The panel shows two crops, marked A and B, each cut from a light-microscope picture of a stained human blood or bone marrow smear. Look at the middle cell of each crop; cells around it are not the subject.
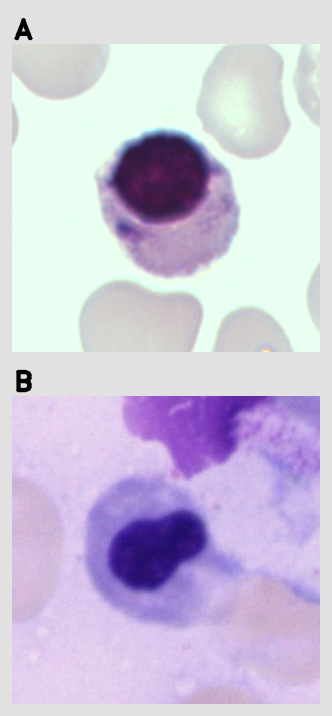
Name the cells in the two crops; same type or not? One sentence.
Yes, both crops show erythroblasts as their central cells.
